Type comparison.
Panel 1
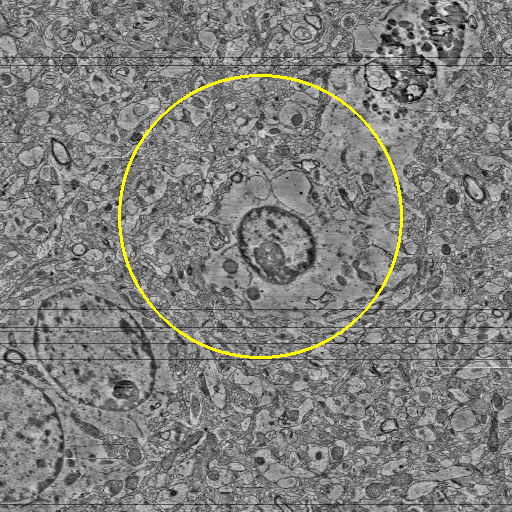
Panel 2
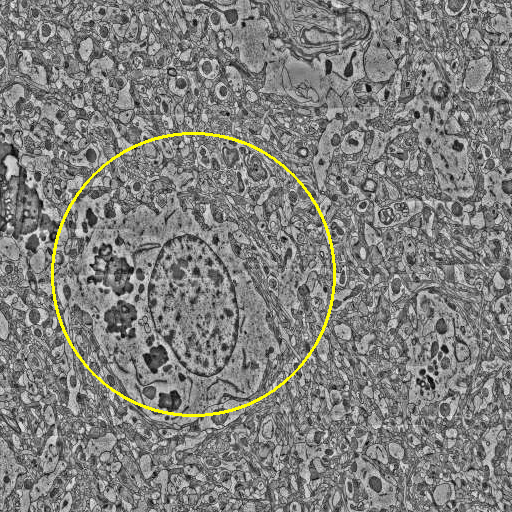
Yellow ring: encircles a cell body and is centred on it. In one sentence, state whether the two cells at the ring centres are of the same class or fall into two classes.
In these panels, the two cells at the ring centres are of the same class.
